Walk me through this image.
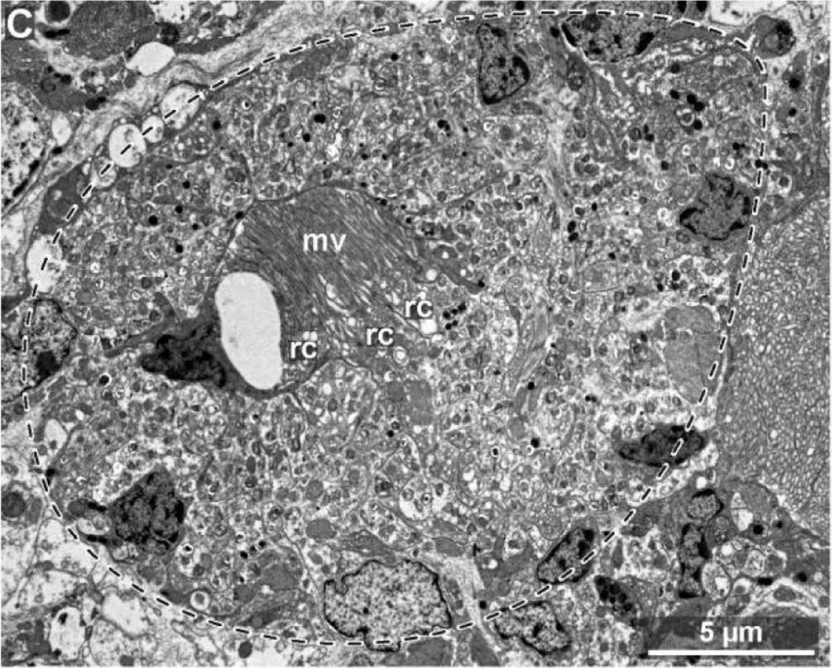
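A sectioned eye, outlined by a dashed line, in which processes of receptor cells end in a bundle of densely packed, parallel microvilli that lie next to a pale, empty lumen. The surrounding shading pigment cells have cytoplasm crowded with numerous round vesicles whose content ranges from grey to dark. Nuclei with dense dark chromatin lie scattered at the periphery of the eye and in the neighbouring tissue.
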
